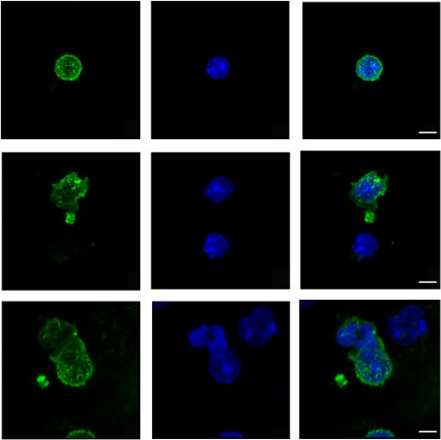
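In the top row a single small round cell has a compact blue nucleus with green lying as a ring around and over it. In the lower rows the cells are larger and irregular in outline, the green spreads unevenly across and beyond the cell edge, and small separate green fragments lie beside the cells. The blue nuclei there look broader and less compact, and in places neighbouring cells touch one another.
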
